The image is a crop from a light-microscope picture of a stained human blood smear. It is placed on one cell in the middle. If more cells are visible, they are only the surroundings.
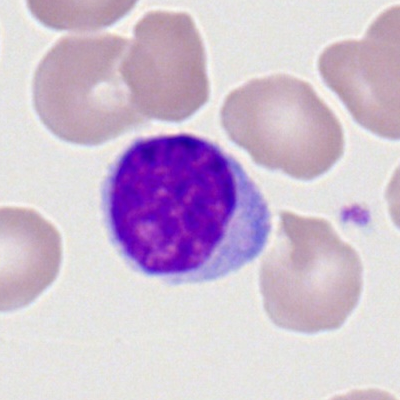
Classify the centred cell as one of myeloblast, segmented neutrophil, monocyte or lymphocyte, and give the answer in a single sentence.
As for the cell in the middle, it is a lymphocyte.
